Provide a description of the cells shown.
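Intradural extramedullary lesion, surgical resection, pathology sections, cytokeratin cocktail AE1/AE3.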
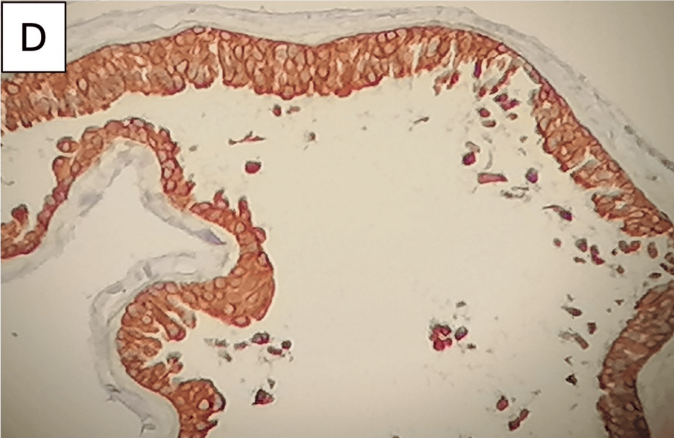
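Wall of a cyst with its epithelial lining cells stained brown. Nuclei appear as pale spaces within the stained cells. The thin fibrous layer under the epithelium is unstained and pale. A few loose brown-stained cells and fragments lie free in the lumen.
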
